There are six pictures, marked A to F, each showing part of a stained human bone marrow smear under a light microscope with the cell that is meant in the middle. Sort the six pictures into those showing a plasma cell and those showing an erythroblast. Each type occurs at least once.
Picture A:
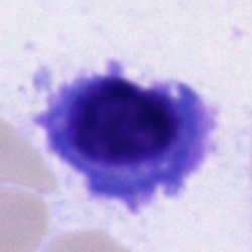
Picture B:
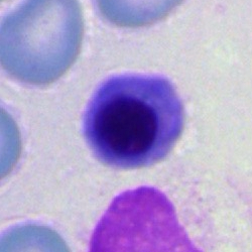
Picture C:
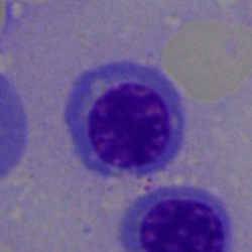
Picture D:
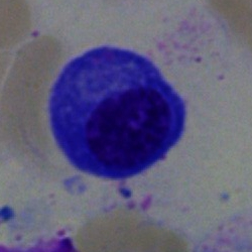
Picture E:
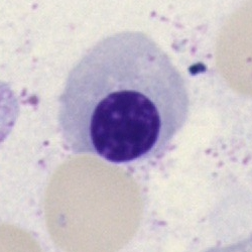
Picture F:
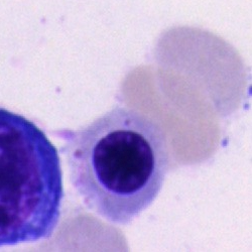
A: plasma cell
B: erythroblast
C: erythroblast
D: plasma cell
E: erythroblast
F: erythroblast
